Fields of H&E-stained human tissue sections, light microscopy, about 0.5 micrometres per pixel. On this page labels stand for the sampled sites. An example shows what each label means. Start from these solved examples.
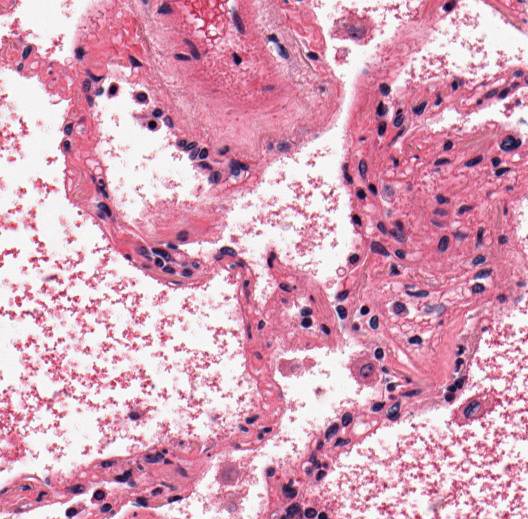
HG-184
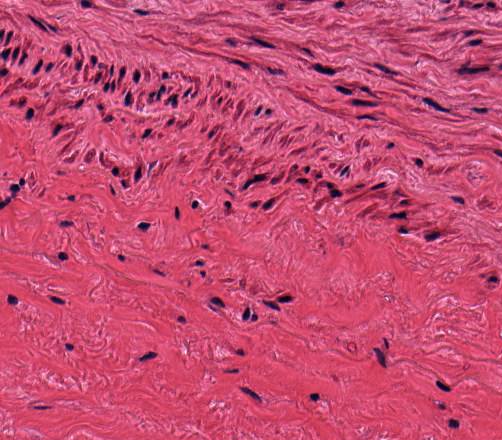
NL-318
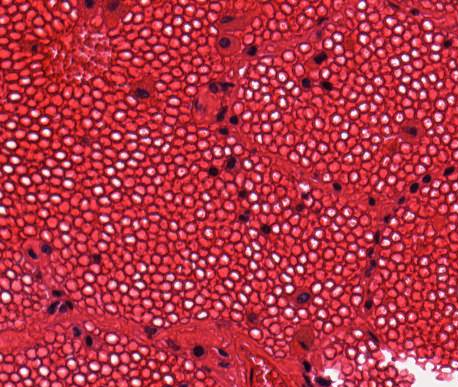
HG-184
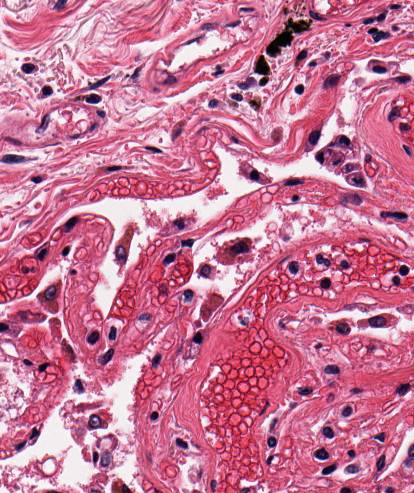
HG-184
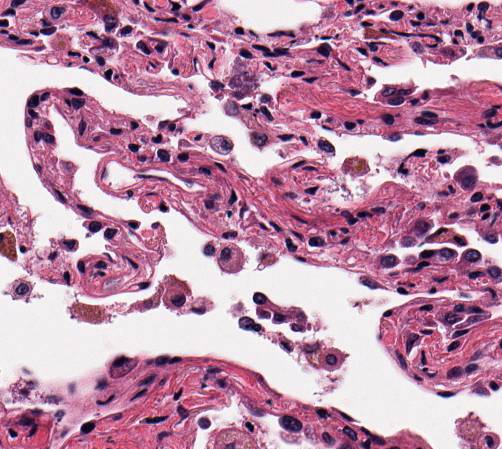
HG-184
